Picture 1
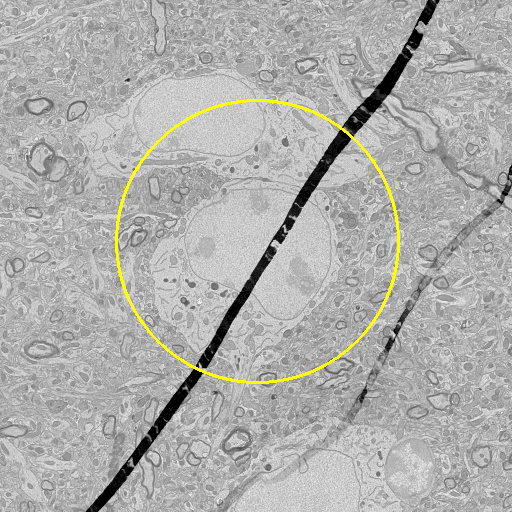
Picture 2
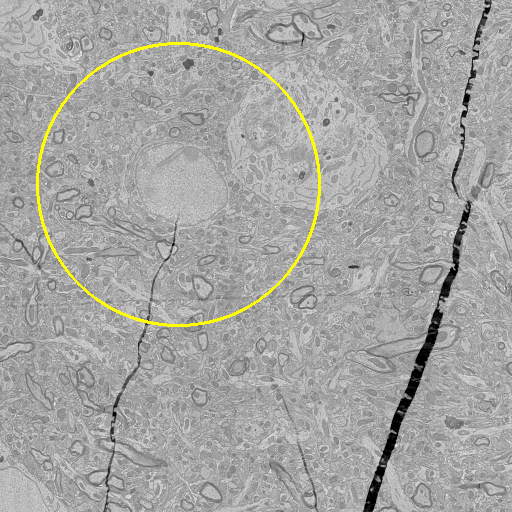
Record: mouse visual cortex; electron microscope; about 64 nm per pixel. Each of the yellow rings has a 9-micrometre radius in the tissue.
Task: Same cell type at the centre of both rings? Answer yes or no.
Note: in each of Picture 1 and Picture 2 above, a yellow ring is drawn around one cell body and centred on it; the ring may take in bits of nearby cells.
no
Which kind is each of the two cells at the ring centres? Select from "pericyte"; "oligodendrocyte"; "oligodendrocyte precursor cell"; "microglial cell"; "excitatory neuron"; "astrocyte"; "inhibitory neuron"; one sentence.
The cell at the centre of the ring is an excitatory neuron in the first picture and an astrocyte in the second.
